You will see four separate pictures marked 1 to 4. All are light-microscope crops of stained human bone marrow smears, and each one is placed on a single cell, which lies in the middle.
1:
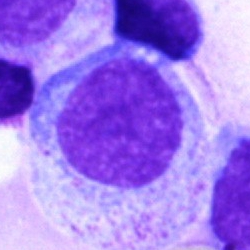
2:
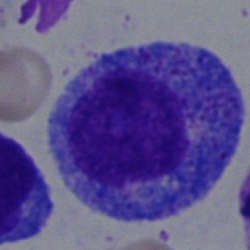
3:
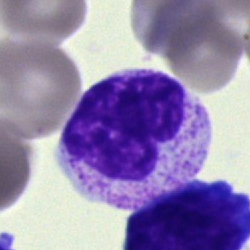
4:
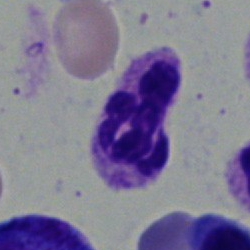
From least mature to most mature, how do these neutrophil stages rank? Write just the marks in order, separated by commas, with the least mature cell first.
2, 1, 3, 4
